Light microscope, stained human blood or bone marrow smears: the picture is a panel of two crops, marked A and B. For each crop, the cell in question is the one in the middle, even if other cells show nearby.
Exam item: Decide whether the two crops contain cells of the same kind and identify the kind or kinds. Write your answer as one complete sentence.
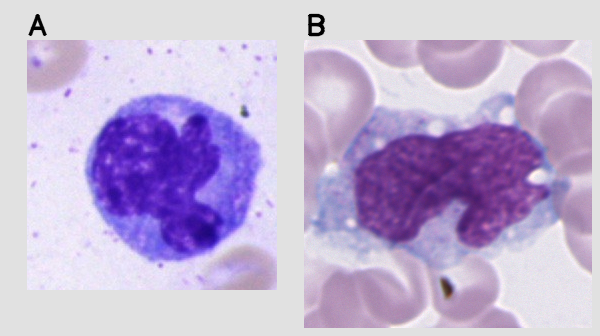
Yes, the reply for both crops is monocytes.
